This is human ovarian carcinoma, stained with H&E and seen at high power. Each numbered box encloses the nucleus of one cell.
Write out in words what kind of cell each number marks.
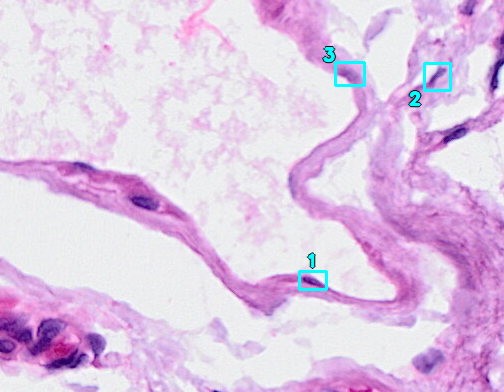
Cells 1 and 3 are endothelial cells. Cell 2 is a fibroblast.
